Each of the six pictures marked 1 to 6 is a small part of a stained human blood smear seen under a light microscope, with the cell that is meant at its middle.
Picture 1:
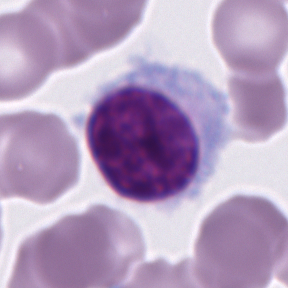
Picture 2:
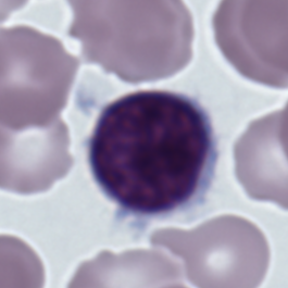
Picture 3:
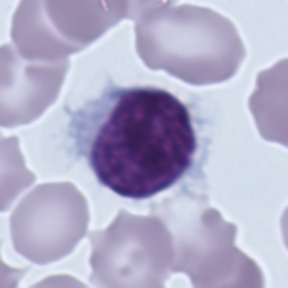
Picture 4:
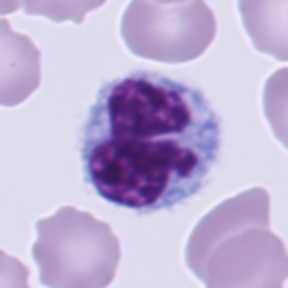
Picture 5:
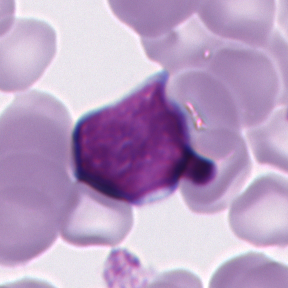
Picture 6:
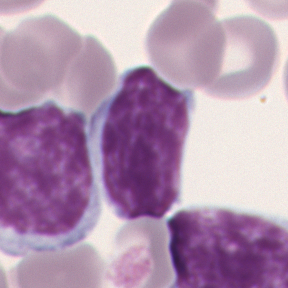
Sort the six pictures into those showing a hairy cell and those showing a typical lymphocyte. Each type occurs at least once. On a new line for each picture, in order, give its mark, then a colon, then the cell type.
1: hairy cell
2: hairy cell
3: hairy cell
4: hairy cell
5: typical lymphocyte
6: typical lymphocyte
